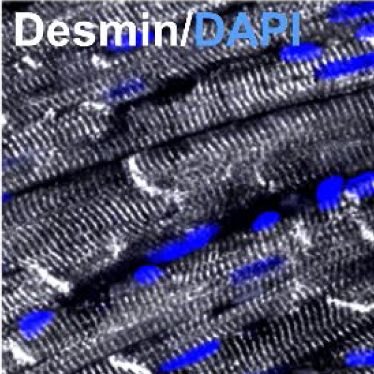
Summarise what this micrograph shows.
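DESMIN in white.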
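This is heart muscle, with cardiomyocytes running as long parallel fibers across the field. Each fiber shows fine, regular cross-striations in white, and brighter white transverse lines mark the places where neighbouring cells join end to end. Oval blue nuclei sit inside the fibers and in the narrow spaces between them. The striated pattern is orderly and continuous along the fibers.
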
